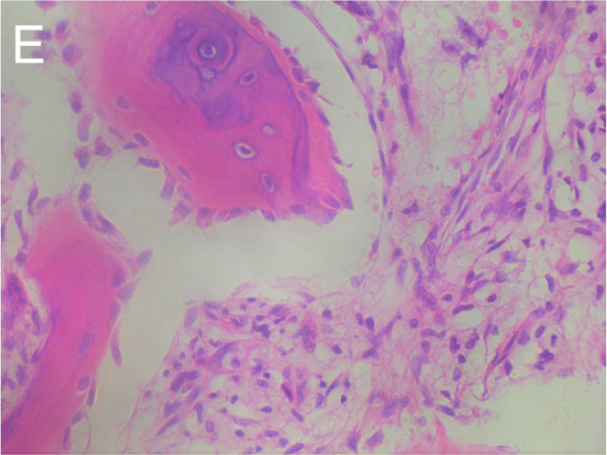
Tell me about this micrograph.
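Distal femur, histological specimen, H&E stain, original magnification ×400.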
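On the left and top, broad trabeculae of dense matrix stain bright pink, and a few cells sit in small clear lacunae within them, with a faintly purple tinge in part of the matrix. Along the edges of these trabeculae, plump cells line the surface. To the right, many elongated cells with dark purple, oval to cigar-shaped nuclei run in loose strands through a pale, wispy stroma. The cells are well preserved with crisply stained nuclei, so the tissue looks alive rather than dead, and no lobules of cartilage are evident in this field.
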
